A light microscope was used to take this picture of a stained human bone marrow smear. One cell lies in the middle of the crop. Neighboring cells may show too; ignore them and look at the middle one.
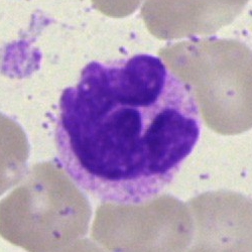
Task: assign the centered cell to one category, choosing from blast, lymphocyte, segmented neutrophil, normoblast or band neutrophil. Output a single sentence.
In the middle of this smear crop, the cell is a segmented neutrophil.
